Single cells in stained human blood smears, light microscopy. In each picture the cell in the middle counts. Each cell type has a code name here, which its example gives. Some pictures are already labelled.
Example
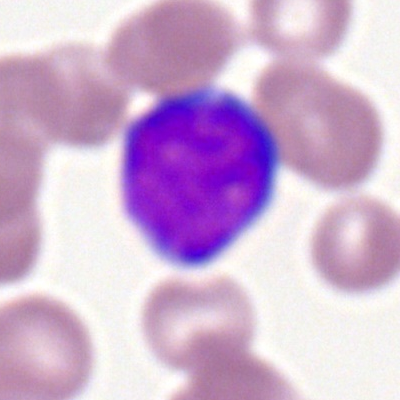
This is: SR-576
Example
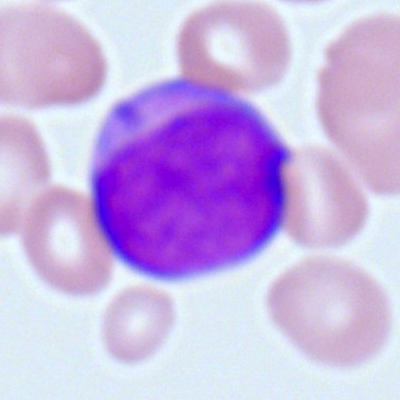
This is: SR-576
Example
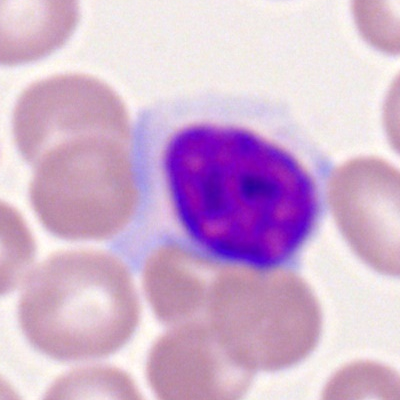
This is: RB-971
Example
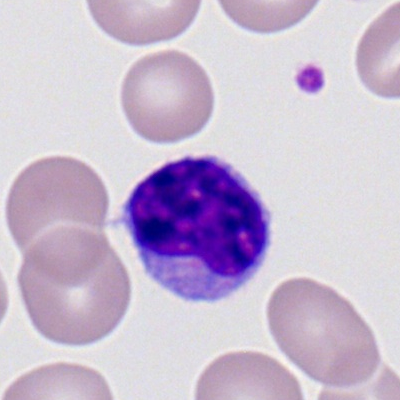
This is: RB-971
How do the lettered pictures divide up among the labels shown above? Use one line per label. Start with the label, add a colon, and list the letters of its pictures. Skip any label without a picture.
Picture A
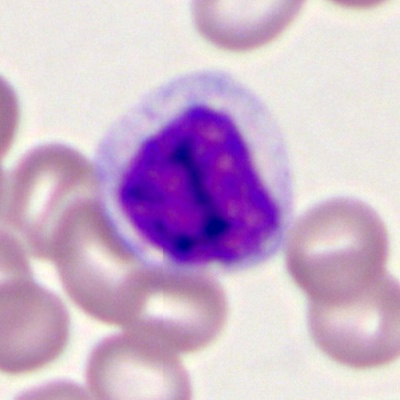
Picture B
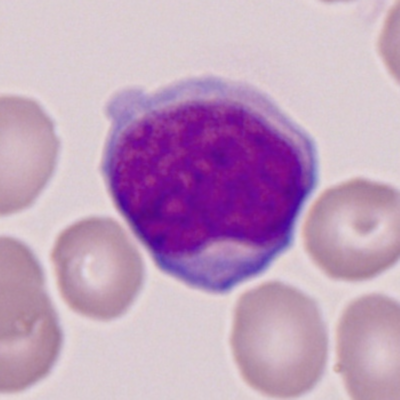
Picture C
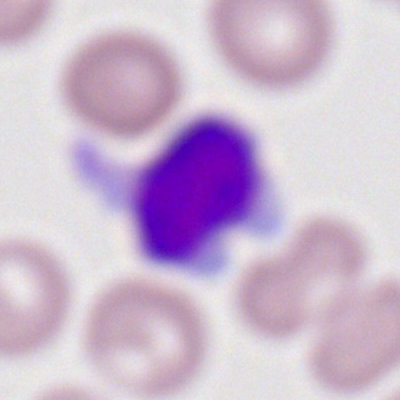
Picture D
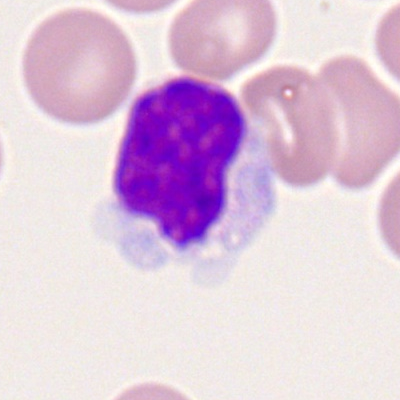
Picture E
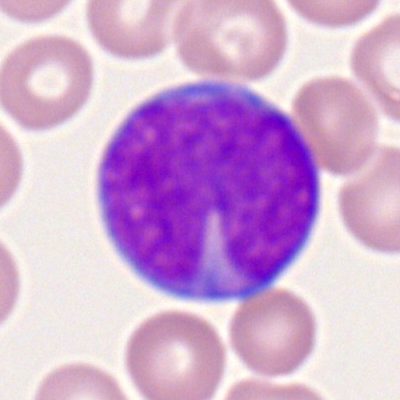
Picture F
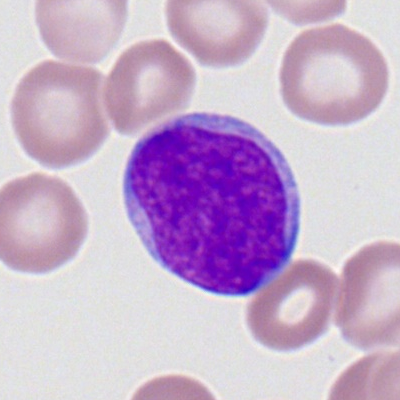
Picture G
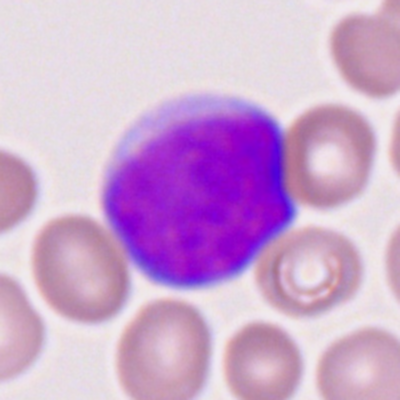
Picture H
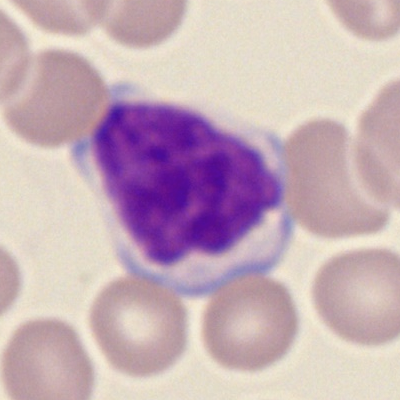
SR-576: B, E, F, G
RB-971: A, C, D, H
